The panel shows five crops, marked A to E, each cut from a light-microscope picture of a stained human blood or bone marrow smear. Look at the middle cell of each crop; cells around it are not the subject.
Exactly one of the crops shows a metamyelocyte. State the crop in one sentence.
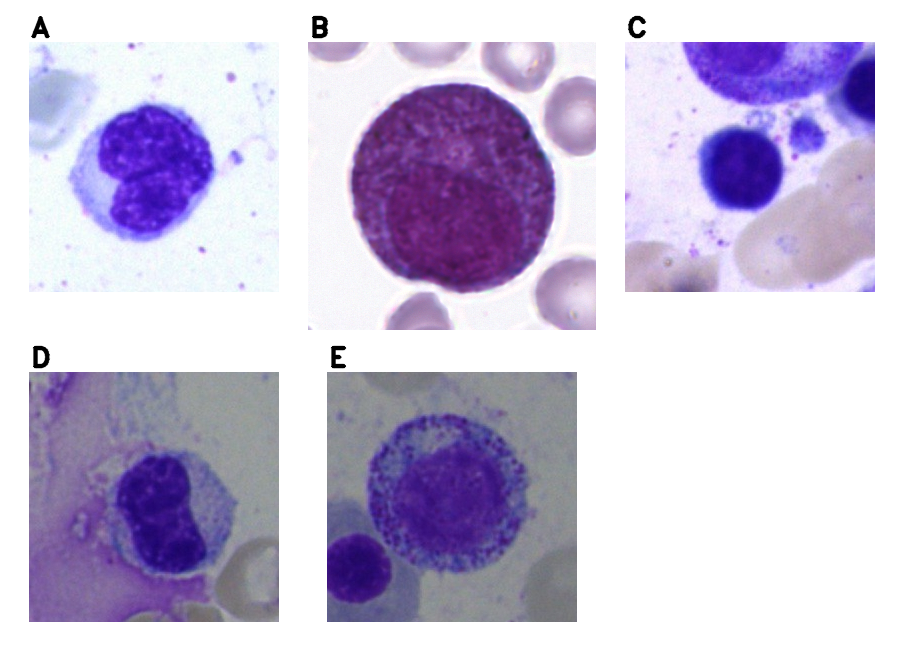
Crop D is the single crop that shows a metamyelocyte.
